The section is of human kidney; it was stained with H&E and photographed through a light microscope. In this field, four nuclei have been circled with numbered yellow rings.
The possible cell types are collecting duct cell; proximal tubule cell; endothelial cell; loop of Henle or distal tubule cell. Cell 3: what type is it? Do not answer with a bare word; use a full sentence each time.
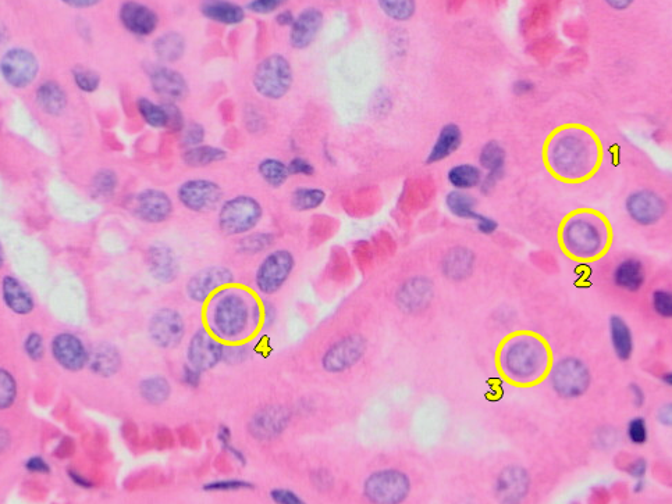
The nucleus marked 3 is the nucleus of a proximal tubule cell.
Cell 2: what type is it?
Identified as a proximal tubule cell is the cell bearing the number 2.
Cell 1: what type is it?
The cell whose nucleus carries the number 1 is a proximal tubule cell.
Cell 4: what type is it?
Identified by the number 4, the cell is a collecting duct cell.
